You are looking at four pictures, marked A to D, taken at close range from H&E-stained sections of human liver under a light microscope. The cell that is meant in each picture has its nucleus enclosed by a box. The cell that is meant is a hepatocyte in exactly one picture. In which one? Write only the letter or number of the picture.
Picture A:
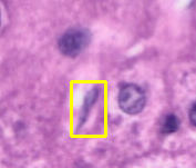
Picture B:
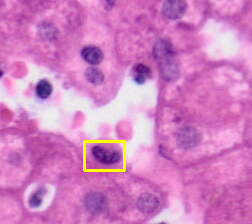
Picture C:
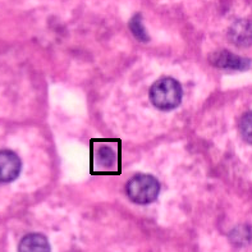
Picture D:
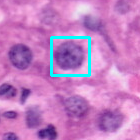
D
